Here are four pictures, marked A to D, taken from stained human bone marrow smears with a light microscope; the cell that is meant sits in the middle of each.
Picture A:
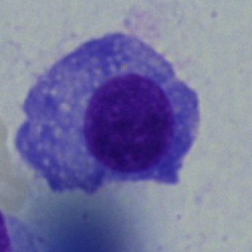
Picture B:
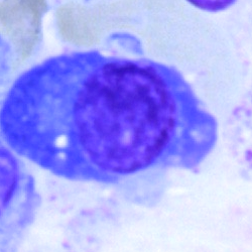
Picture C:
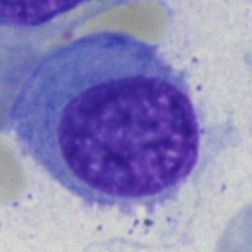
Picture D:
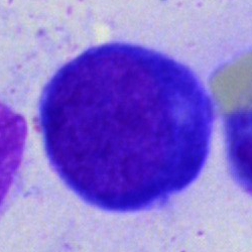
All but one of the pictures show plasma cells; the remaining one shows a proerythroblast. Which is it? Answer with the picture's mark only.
D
